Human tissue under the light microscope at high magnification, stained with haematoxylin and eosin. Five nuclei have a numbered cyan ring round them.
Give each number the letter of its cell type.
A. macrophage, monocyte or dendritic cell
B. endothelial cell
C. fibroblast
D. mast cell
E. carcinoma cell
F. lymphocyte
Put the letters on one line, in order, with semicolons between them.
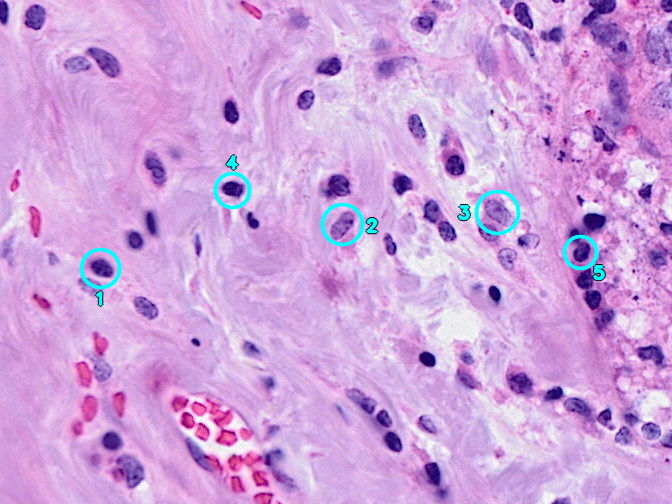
F; A; A; F; F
